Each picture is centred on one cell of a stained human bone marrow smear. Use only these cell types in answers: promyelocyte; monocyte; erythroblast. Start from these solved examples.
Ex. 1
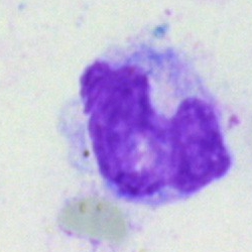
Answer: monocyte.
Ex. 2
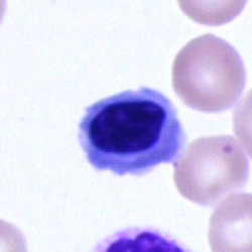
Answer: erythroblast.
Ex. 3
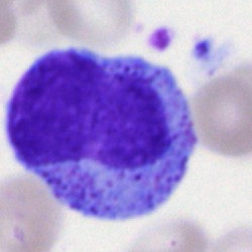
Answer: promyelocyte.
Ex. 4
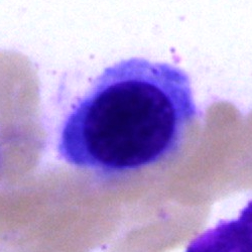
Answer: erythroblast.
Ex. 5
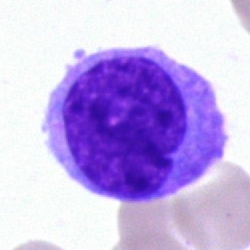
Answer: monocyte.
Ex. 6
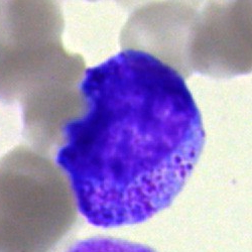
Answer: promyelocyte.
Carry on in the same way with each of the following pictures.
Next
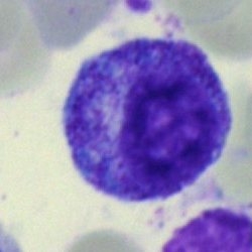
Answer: promyelocyte.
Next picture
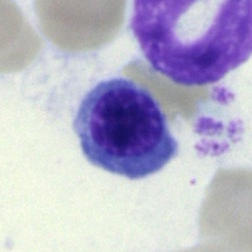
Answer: erythroblast.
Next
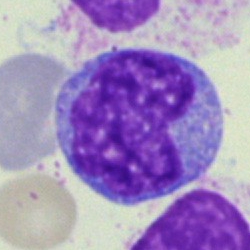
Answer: monocyte.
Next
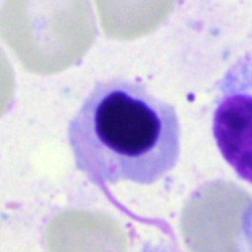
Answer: erythroblast.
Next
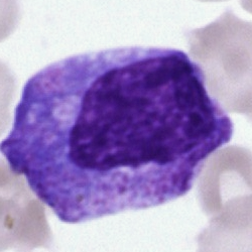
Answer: promyelocyte.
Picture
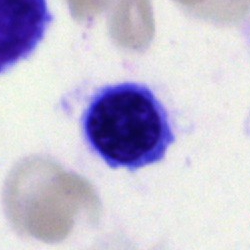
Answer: erythroblast.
